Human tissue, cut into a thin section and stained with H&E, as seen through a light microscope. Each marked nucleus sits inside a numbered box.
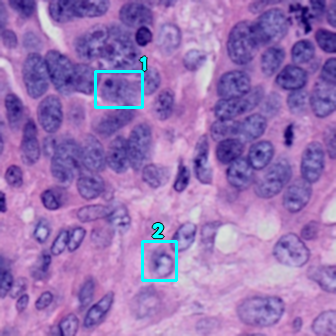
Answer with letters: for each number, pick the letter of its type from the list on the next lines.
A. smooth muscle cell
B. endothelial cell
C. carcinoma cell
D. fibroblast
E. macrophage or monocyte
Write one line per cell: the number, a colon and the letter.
1: C
2: D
